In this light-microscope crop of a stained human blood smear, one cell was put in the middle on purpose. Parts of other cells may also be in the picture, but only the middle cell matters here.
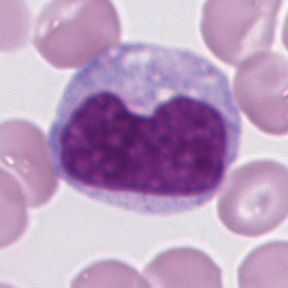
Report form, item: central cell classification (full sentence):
For this crop, the central cell is a monocyte.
